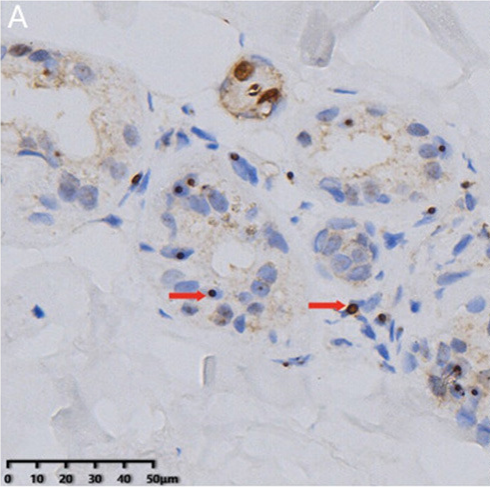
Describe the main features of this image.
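This is skin with several cross-sectioned sweat gland tubules lying in pale dermal connective tissue. The gland cells are cuboidal with round to oval blue nuclei and faintly brown granular cytoplasm around small lumina. Many of these nuclei hold a single small round dark brown dot, and similar dots appear in some of the slender stromal nuclei between the tubules.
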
